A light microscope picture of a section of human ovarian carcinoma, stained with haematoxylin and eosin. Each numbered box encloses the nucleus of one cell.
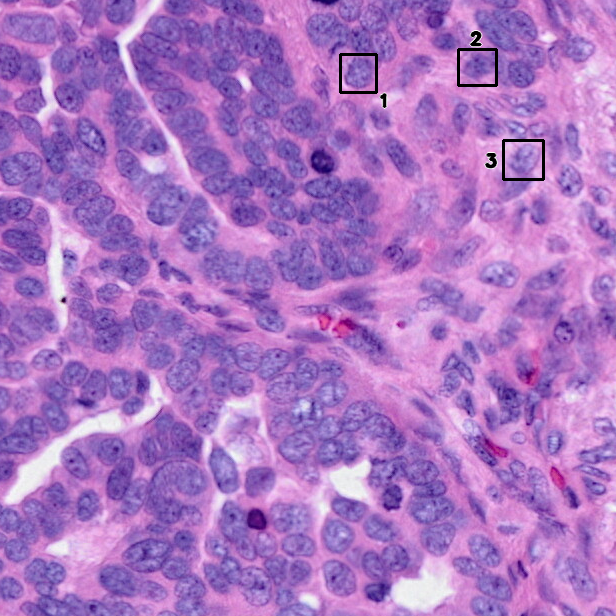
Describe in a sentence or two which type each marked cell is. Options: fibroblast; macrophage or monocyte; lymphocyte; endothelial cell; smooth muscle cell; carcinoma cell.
Cell 1 is a carcinoma cell, cell 2 is a carcinoma cell and cell 3 is a fibroblast.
